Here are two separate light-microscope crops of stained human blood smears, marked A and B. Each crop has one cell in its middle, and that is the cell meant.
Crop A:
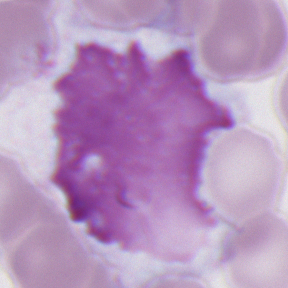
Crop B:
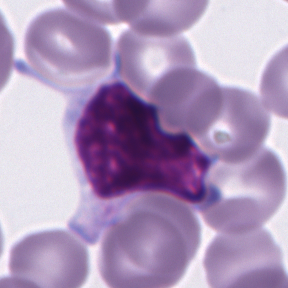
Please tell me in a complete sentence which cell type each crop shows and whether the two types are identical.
No, crop A presents a smudge cell; crop B presents a typical lymphocyte.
